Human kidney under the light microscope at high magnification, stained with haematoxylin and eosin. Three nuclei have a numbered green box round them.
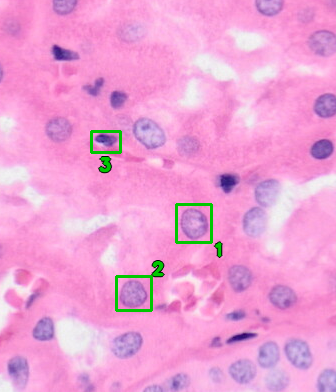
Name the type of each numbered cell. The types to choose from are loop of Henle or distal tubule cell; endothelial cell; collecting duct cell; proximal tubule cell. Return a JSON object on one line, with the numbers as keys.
{"1": "proximal tubule cell", "2": "proximal tubule cell", "3": "endothelial cell"}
